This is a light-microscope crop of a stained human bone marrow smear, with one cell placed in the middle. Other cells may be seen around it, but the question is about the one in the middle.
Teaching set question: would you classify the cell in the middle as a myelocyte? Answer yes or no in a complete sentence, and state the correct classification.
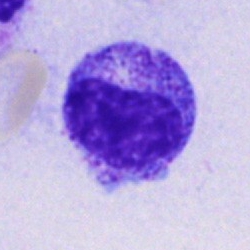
Yes, the centre of the crop holds a myelocyte.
